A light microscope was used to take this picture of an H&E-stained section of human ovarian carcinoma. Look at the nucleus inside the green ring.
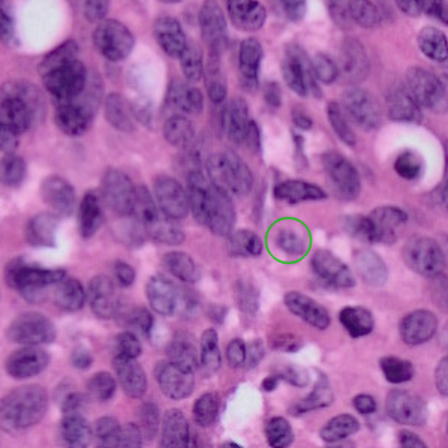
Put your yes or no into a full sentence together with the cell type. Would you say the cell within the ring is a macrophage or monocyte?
Yes, the statement that the cell within the ring is a macrophage or monocyte is correct.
